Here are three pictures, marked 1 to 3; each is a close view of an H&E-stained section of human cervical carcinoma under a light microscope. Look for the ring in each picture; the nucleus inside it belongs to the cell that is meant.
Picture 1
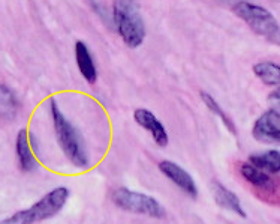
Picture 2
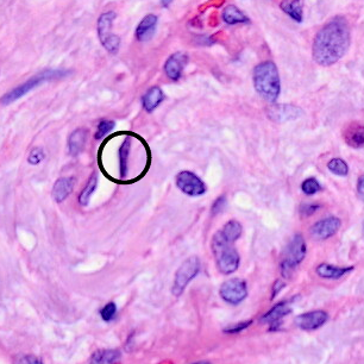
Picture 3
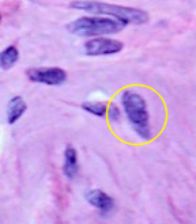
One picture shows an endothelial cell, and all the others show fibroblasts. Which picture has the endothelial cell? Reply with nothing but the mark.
2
